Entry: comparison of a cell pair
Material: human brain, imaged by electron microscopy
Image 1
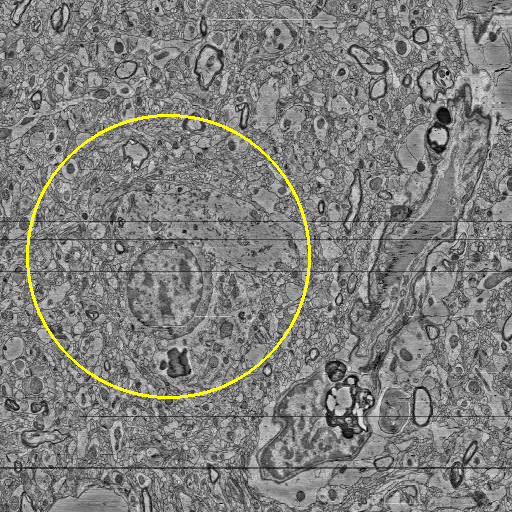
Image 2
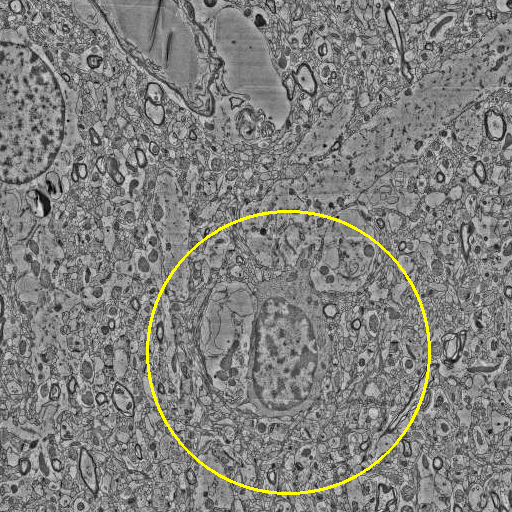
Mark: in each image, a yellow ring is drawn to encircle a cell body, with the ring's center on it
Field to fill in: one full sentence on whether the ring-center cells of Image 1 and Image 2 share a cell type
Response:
No, Image 1 and Image 2 show ring-center cells of two separate types.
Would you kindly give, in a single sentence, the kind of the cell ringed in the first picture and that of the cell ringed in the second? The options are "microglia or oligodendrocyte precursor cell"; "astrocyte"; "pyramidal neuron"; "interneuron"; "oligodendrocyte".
The second cell is a microglial cell or oligodendrocyte precursor cell, and the first cell is an oligodendrocyte.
